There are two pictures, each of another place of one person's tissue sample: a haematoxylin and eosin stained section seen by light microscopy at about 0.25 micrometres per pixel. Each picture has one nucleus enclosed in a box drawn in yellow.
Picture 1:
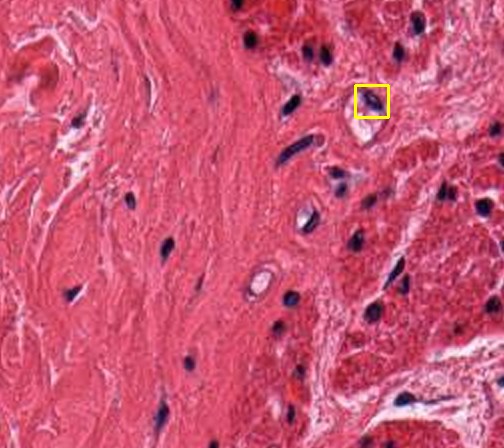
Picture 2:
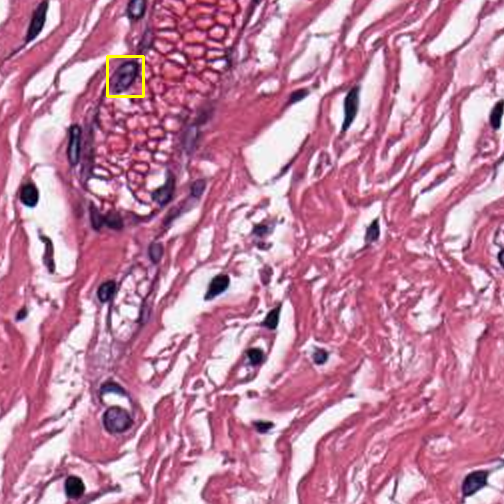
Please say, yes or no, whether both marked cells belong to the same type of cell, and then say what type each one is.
Yes, both are endothelial cells.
